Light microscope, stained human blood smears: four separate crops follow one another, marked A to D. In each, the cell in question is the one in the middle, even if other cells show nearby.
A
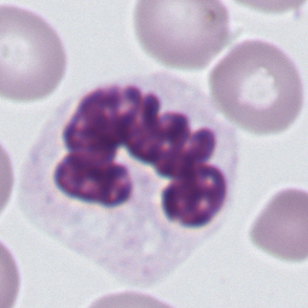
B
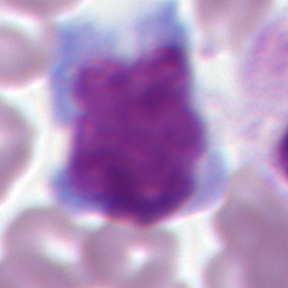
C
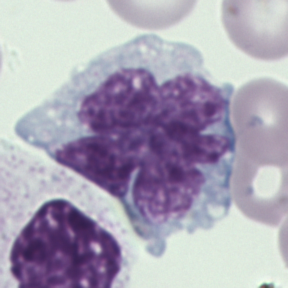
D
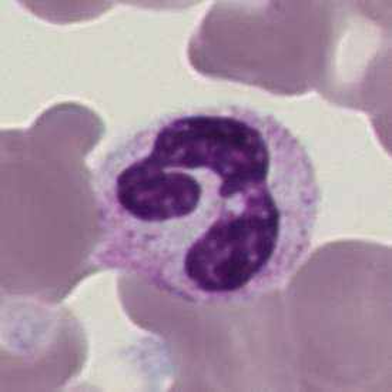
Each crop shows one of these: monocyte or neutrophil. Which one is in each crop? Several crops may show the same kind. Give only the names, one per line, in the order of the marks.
neutrophil
monocyte
monocyte
neutrophil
